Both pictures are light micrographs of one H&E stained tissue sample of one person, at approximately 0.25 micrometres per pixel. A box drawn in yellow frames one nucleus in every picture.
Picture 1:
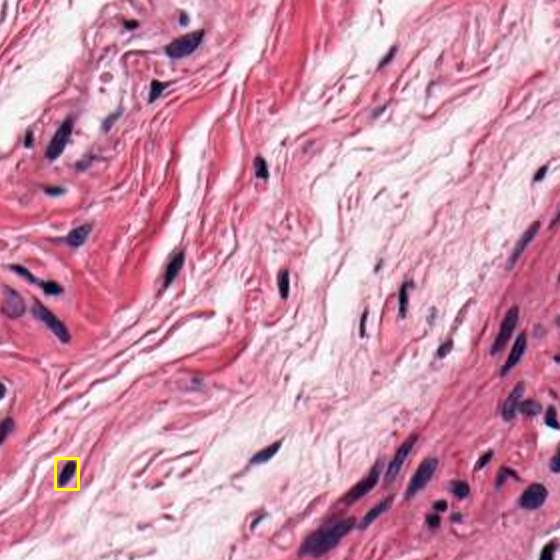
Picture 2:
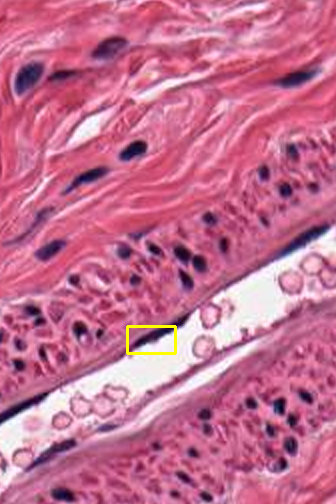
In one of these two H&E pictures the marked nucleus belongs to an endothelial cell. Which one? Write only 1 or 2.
2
